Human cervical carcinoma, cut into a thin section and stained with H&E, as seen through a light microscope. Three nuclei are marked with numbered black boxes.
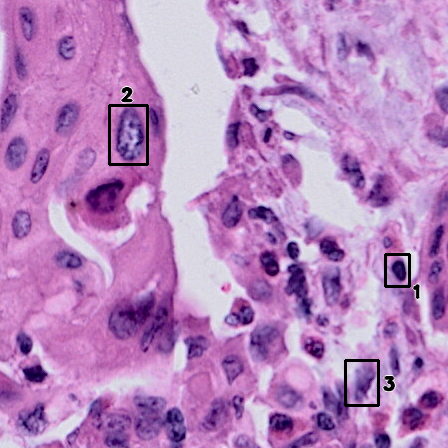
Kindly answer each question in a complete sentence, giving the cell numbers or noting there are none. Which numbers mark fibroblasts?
It is only cell 3 that is a fibroblast among the numbered cells.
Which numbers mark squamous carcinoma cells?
The sole numbered cell that is a squamous carcinoma cell is cell 2.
